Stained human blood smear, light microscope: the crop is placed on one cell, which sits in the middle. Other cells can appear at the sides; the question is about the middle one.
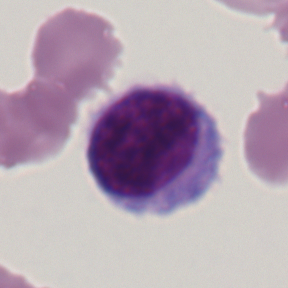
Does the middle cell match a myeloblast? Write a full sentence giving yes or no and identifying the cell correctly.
No, rather than being a myeloblast, the central cell is a hairy cell.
